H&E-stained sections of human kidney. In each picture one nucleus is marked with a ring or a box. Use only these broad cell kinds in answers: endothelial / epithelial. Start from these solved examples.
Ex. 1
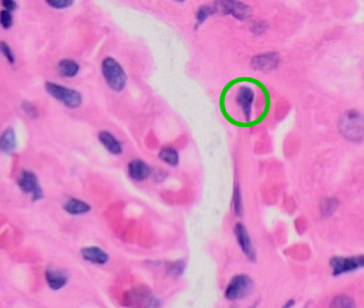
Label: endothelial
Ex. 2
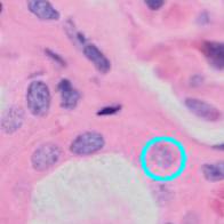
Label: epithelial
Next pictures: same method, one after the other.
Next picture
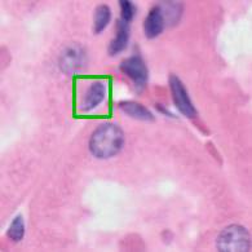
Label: endothelial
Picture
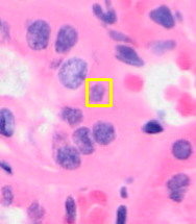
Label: epithelial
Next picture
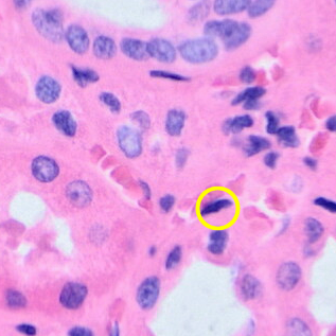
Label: endothelial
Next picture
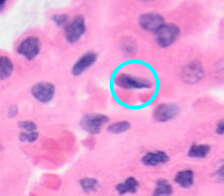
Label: endothelial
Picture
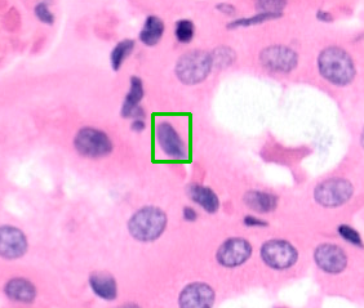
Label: endothelial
